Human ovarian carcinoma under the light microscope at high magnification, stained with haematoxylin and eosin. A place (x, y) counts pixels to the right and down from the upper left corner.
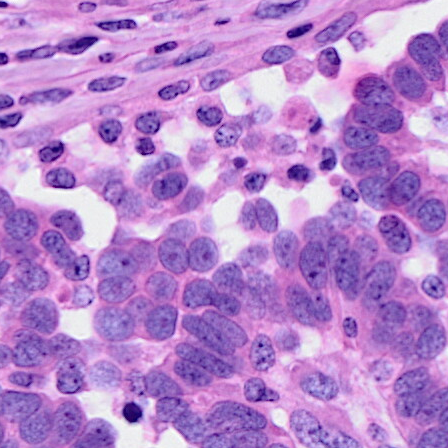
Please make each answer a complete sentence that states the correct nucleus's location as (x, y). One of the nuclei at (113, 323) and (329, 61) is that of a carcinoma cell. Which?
Of the two nuclei, the nucleus belonging to a carcinoma cell is located at (113, 323).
